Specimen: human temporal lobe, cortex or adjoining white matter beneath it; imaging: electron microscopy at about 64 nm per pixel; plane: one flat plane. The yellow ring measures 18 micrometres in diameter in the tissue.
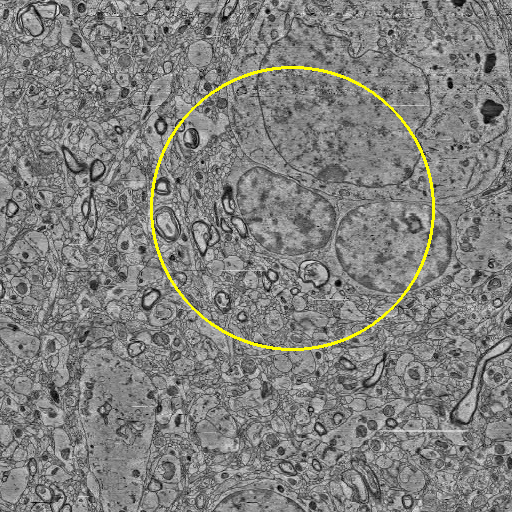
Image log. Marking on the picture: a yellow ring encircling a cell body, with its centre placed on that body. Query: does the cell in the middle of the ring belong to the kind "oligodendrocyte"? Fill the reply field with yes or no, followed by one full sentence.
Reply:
Yes, the cell at the centre of the yellow ring in this picture belongs to that kind.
